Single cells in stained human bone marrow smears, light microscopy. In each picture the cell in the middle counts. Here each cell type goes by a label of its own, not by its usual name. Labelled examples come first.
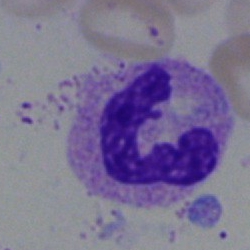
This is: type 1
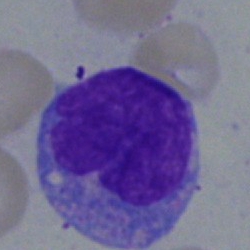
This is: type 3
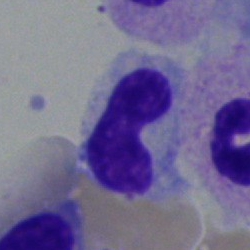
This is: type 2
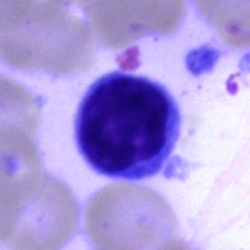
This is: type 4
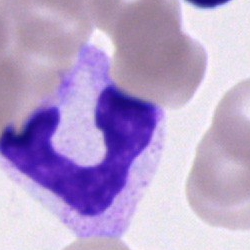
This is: type 2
